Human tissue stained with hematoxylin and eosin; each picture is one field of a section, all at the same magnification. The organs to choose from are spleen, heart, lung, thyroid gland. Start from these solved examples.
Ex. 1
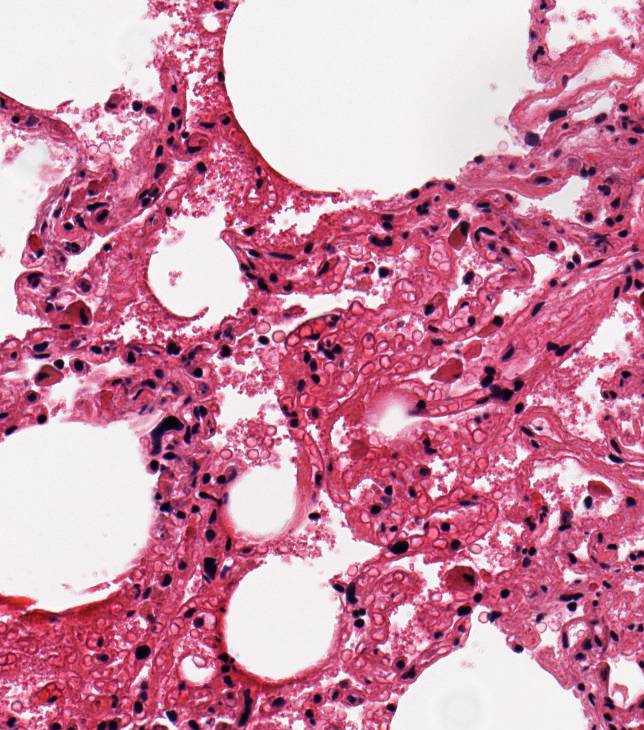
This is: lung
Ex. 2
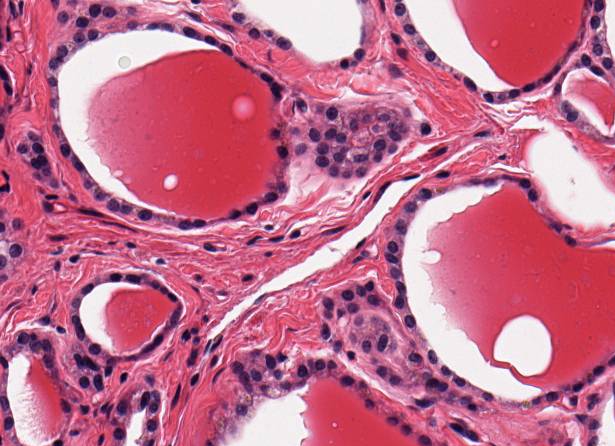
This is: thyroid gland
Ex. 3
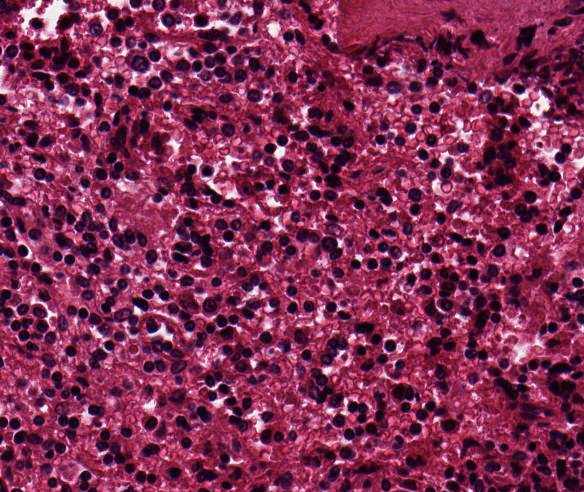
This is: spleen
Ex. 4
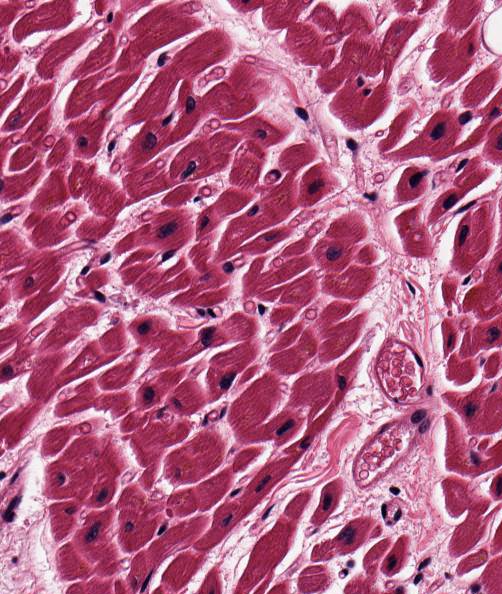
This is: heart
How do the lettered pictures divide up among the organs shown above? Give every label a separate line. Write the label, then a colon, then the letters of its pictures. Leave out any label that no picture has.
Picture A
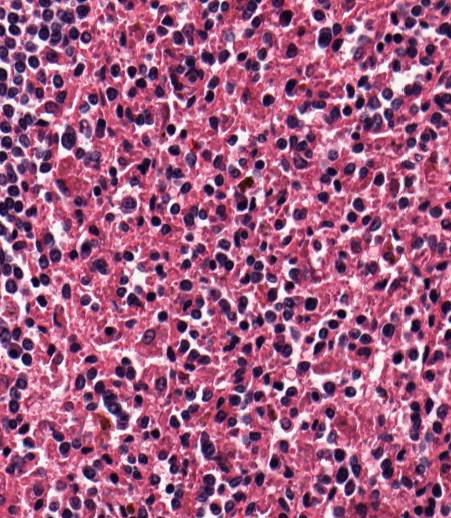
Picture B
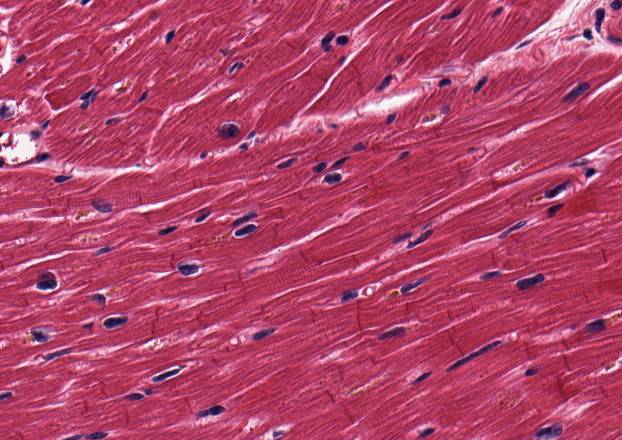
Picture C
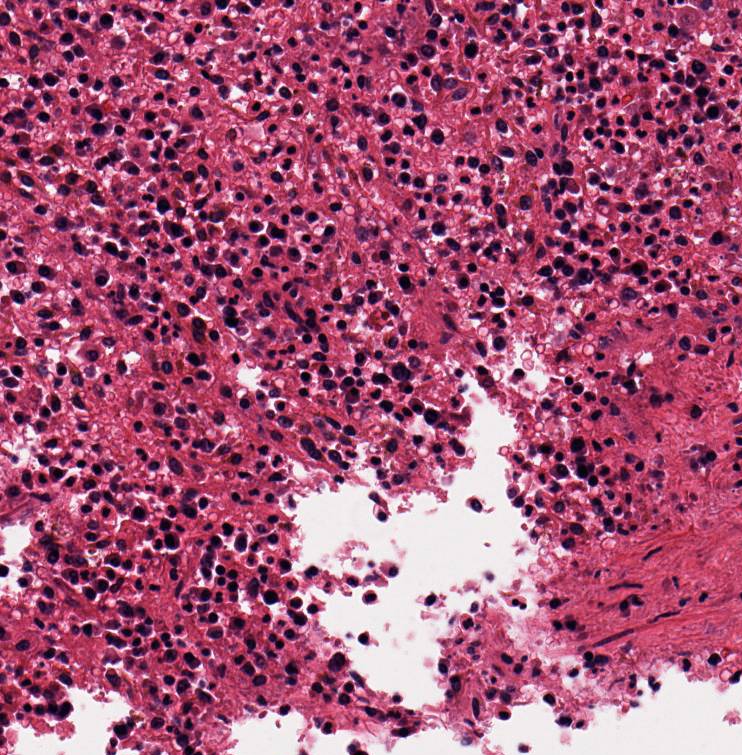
spleen: A, C
heart: B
